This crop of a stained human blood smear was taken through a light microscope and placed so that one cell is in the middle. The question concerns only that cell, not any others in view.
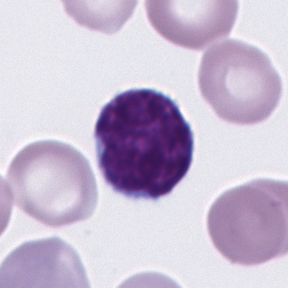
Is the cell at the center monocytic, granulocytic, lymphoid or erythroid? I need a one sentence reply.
The cell occupying the center of the frame is part of the lymphoid lineage.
